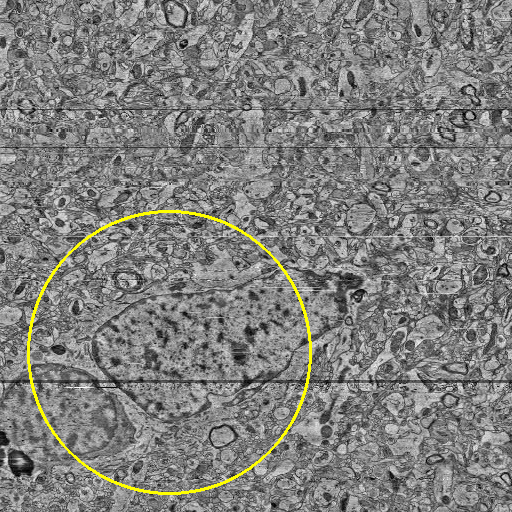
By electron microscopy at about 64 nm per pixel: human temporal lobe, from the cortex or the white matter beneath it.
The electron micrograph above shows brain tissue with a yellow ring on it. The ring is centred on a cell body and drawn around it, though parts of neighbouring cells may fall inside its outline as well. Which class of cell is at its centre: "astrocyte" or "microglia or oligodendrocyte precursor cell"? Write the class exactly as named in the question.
microglia or oligodendrocyte precursor cell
